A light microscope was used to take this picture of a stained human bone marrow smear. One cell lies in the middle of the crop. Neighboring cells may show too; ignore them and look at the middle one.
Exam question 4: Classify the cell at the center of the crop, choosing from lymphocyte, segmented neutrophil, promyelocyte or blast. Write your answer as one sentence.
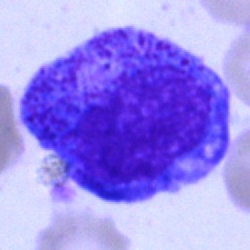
The cell found in the middle of this crop is a promyelocyte.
